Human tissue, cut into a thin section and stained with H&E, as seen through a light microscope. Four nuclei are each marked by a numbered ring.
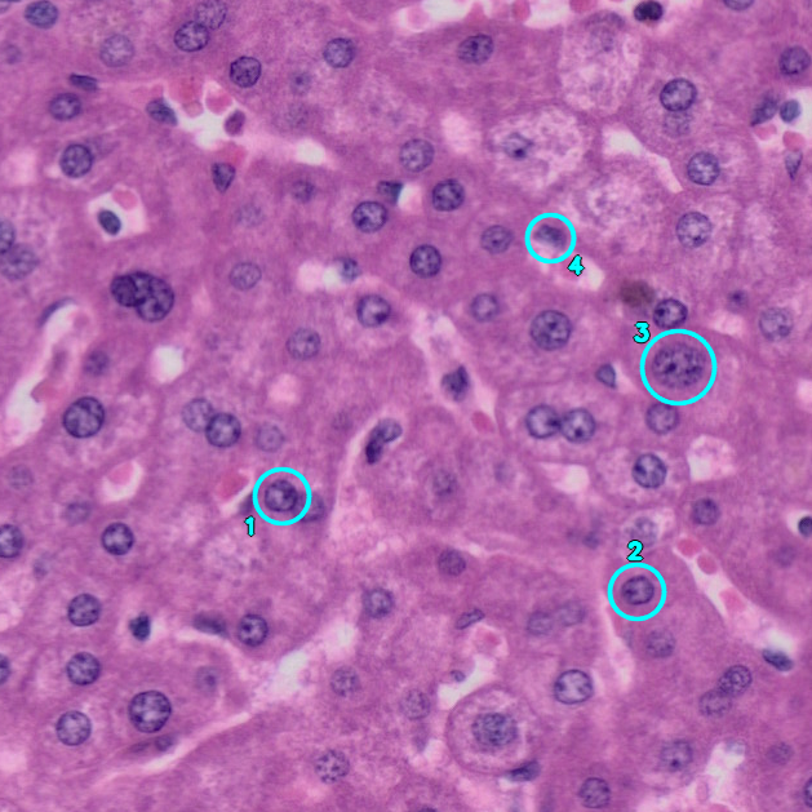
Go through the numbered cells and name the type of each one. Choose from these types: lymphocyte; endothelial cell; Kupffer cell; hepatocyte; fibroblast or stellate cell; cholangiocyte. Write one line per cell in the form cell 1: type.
cell 1: hepatocyte
cell 2: hepatocyte
cell 3: hepatocyte
cell 4: endothelial cell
